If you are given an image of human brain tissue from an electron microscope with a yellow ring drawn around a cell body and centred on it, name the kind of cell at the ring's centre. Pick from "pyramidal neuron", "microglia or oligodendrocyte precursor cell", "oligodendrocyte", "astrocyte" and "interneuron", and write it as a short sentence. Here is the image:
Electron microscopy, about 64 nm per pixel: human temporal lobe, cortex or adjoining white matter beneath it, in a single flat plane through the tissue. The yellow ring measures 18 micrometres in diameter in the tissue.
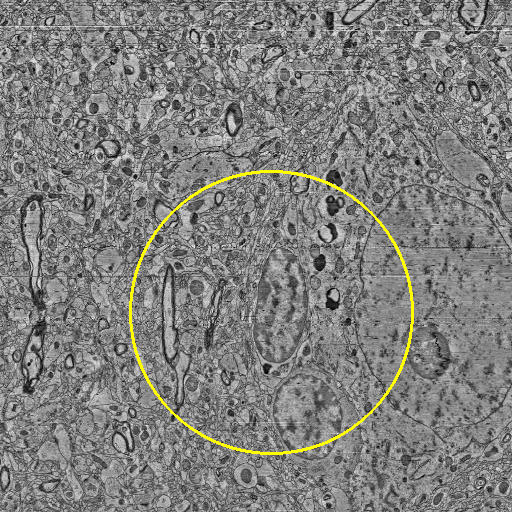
The cell at the ring's centre is a microglial cell or oligodendrocyte precursor cell.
